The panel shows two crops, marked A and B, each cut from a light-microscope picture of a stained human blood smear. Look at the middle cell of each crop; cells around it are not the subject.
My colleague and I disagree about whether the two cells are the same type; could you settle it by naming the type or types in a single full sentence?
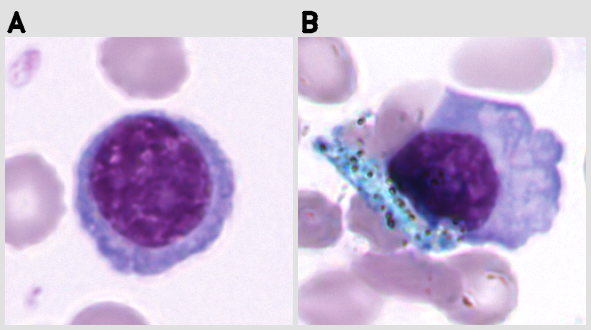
Yes, both crops show plasma cells, with no exception.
